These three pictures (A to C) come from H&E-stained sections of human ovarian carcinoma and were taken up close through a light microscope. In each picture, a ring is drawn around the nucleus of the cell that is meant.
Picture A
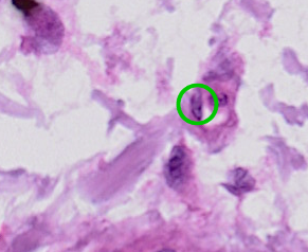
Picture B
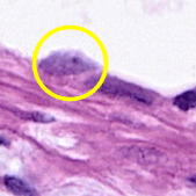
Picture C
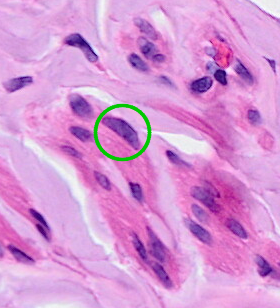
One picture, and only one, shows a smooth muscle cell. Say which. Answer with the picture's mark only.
C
